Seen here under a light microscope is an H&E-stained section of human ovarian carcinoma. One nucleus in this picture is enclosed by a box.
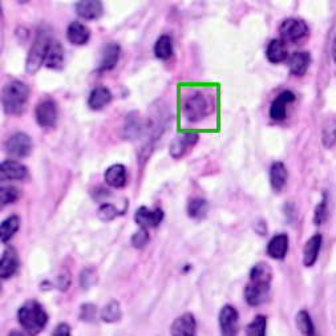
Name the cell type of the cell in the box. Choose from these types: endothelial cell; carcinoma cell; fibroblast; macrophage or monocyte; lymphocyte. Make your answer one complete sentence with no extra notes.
In this section of tissue, the cell in the box is a macrophage or monocyte.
